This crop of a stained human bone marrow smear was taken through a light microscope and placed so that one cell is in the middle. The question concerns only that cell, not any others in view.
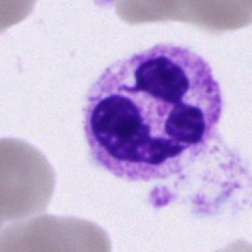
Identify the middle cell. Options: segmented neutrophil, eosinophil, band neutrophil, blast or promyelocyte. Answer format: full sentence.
The centered cell in this crop is a segmented neutrophil.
